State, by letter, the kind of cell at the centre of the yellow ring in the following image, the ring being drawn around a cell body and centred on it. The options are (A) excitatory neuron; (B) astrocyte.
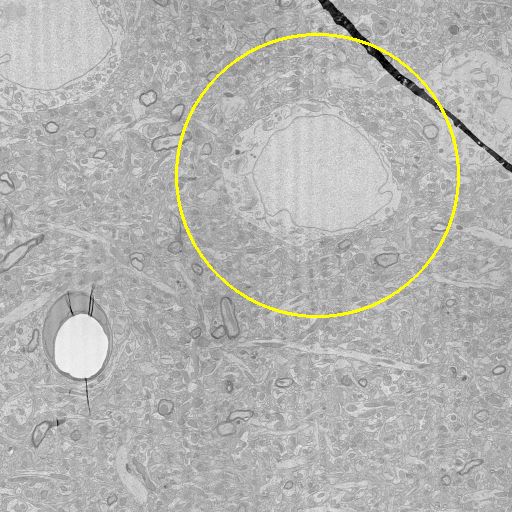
A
